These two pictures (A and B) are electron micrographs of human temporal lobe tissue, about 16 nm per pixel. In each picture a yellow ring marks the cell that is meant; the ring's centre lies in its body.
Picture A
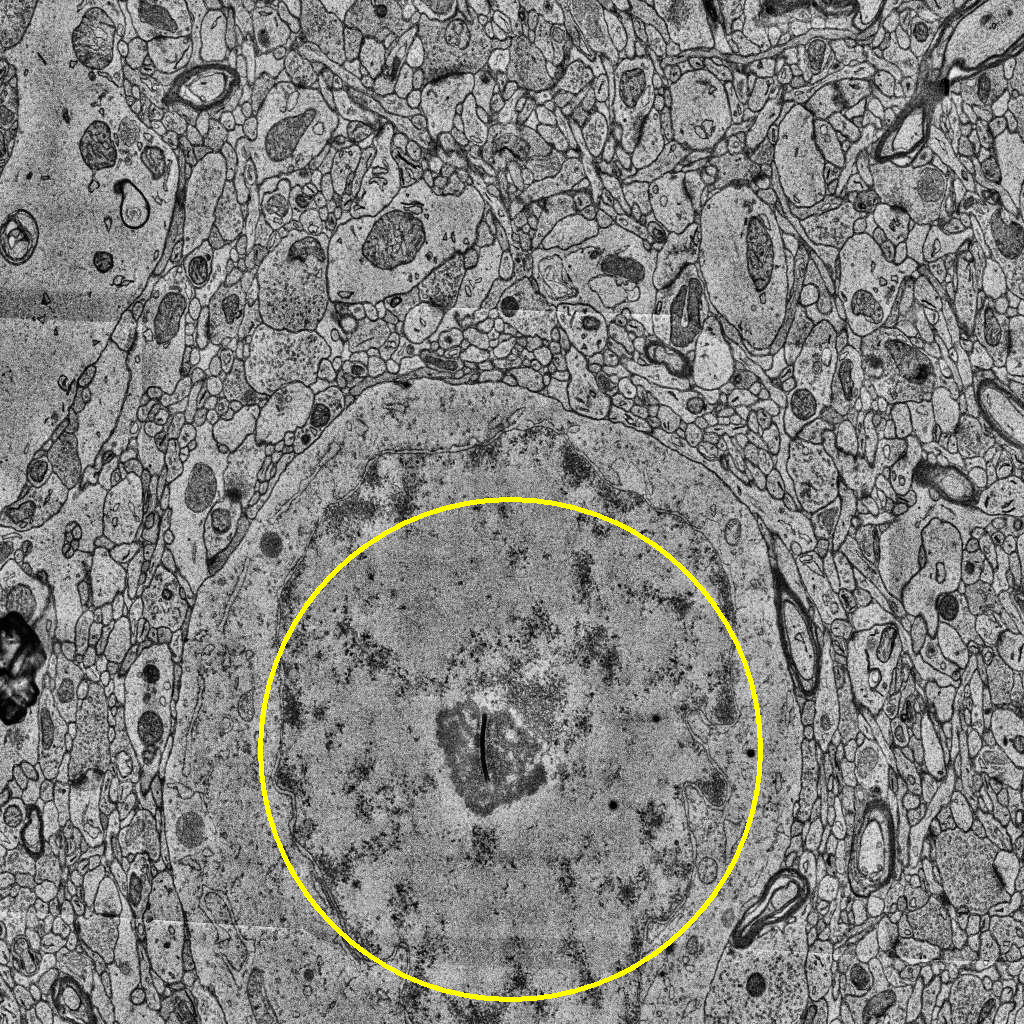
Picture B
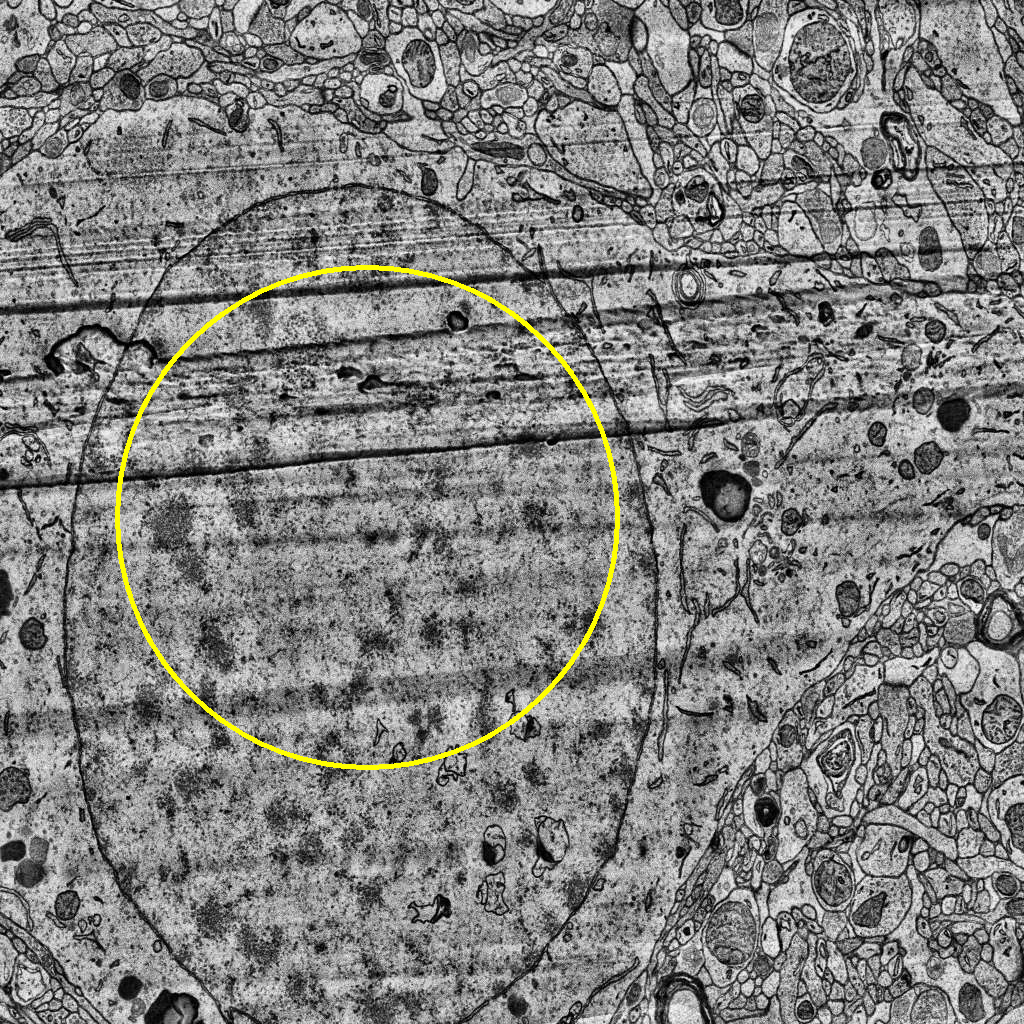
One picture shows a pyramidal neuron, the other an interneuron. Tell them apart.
The cell in picture A is an interneuron, and the one in picture B is a pyramidal neuron.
